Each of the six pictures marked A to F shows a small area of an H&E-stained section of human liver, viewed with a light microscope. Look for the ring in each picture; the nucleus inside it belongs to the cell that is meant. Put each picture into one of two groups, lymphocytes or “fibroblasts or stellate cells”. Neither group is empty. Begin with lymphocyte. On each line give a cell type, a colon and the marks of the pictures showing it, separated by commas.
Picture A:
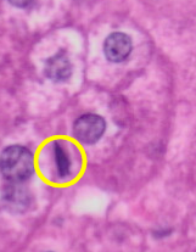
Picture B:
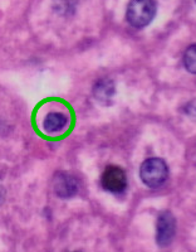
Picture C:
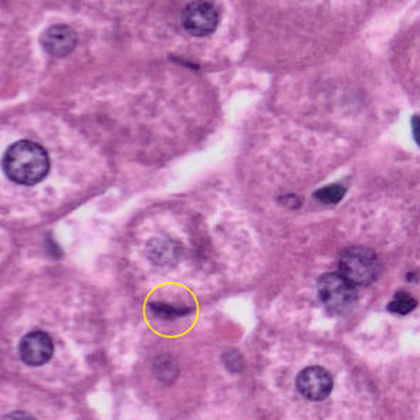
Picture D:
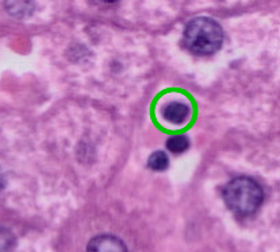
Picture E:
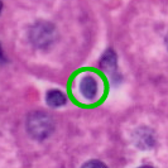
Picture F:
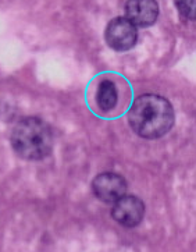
lymphocyte: B, D, E
fibroblast or stellate cell: A, C, F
